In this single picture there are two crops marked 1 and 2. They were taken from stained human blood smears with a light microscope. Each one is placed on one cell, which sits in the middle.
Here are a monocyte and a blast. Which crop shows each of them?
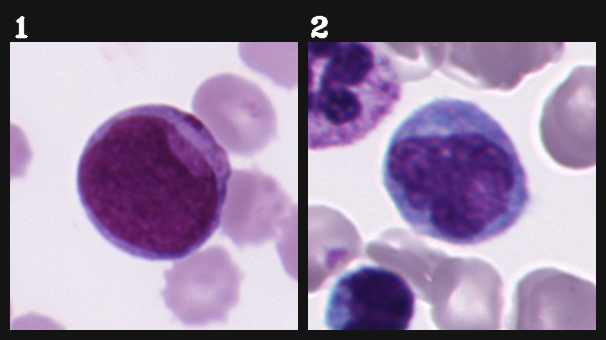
1: blast
2: monocyte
